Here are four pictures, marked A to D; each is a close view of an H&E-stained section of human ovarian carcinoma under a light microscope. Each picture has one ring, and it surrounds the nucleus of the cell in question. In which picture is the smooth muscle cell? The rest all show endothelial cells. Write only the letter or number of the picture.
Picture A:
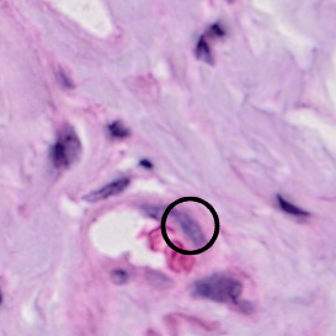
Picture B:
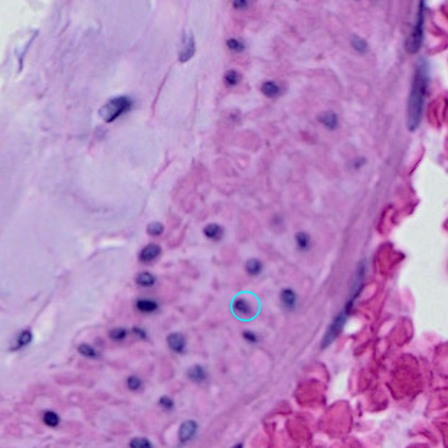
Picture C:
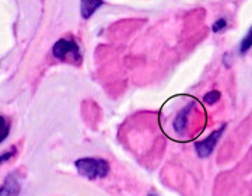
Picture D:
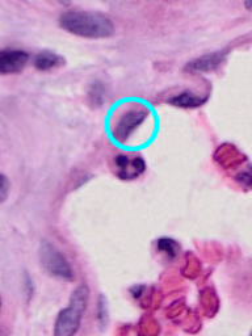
B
